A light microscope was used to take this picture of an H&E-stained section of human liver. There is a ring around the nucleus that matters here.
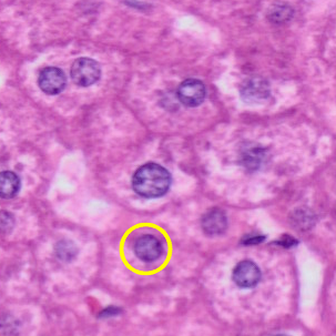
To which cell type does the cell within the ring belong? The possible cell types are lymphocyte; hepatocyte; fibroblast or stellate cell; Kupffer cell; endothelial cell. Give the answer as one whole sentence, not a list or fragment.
For cell typing purposes, the cell within the ring is a hepatocyte.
